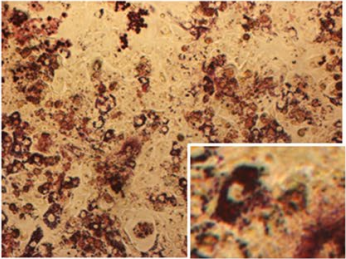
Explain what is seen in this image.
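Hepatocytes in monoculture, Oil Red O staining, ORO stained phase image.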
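The cells are rounded to polygonal and lie in irregular clusters and patches, with paler, less stained areas of flattened cells between them. The deposits are clumped in the cytoplasm, some as fine red granules and others as coarse dark aggregates. The background is light tan.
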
